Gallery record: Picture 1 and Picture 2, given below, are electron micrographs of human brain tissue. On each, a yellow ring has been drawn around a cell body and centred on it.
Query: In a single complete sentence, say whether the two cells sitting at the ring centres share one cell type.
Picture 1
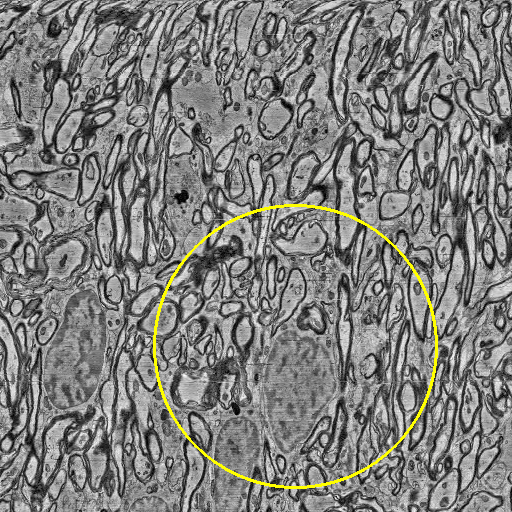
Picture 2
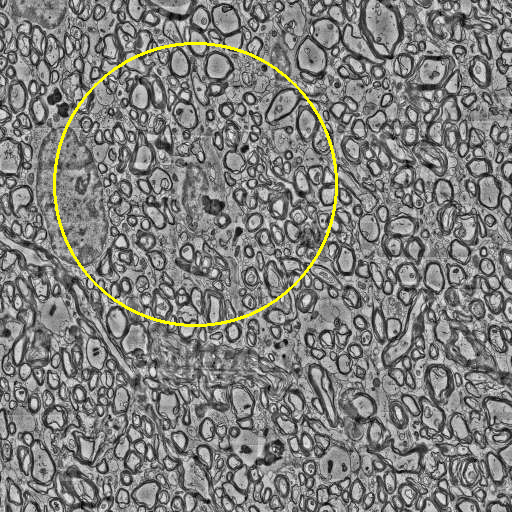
Yes, in both pictures the cell at the ring's centre is of one and the same type.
